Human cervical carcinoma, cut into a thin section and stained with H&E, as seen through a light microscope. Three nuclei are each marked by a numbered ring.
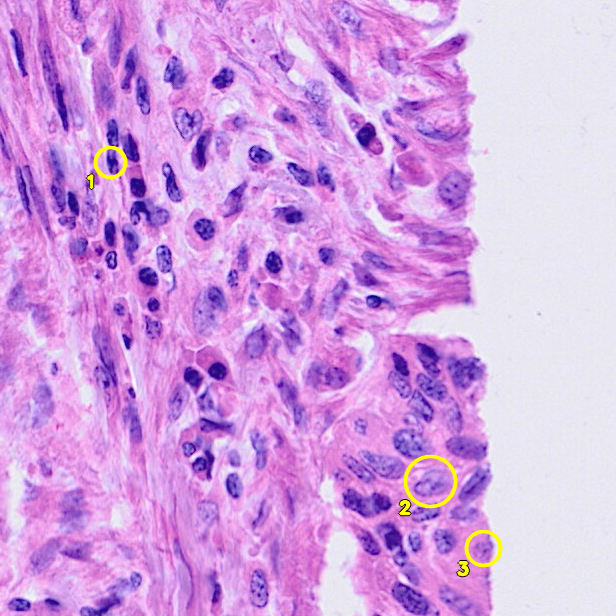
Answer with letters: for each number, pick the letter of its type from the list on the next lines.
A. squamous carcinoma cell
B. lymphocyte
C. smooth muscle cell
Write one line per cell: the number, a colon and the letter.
1: B
2: A
3: A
